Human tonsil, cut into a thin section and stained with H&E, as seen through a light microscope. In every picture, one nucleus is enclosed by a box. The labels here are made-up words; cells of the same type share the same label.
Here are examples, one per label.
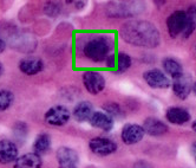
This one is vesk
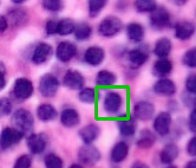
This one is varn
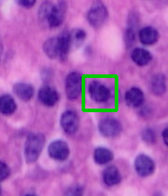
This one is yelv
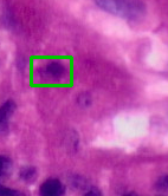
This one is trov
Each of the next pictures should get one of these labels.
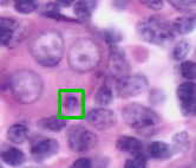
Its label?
vesk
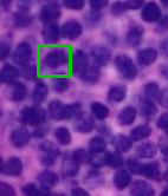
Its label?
varn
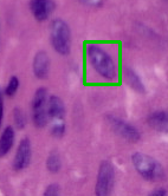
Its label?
trov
